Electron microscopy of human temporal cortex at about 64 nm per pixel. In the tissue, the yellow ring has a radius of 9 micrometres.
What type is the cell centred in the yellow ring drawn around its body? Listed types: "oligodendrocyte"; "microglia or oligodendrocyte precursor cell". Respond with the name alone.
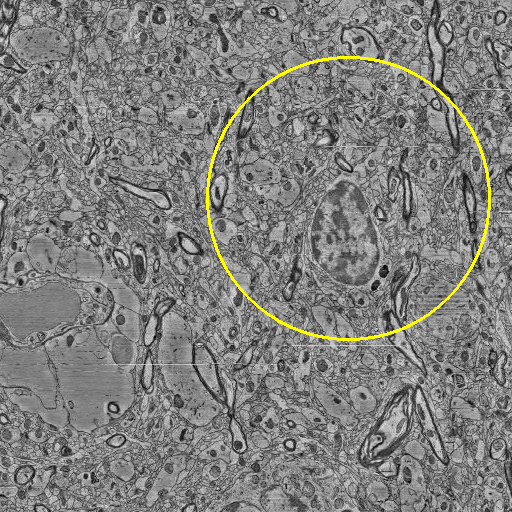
microglia or oligodendrocyte precursor cell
